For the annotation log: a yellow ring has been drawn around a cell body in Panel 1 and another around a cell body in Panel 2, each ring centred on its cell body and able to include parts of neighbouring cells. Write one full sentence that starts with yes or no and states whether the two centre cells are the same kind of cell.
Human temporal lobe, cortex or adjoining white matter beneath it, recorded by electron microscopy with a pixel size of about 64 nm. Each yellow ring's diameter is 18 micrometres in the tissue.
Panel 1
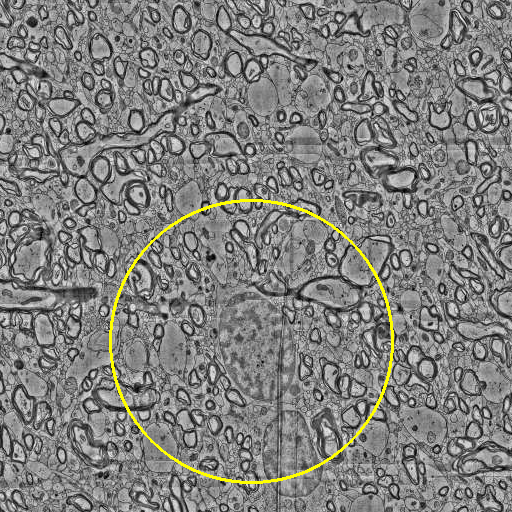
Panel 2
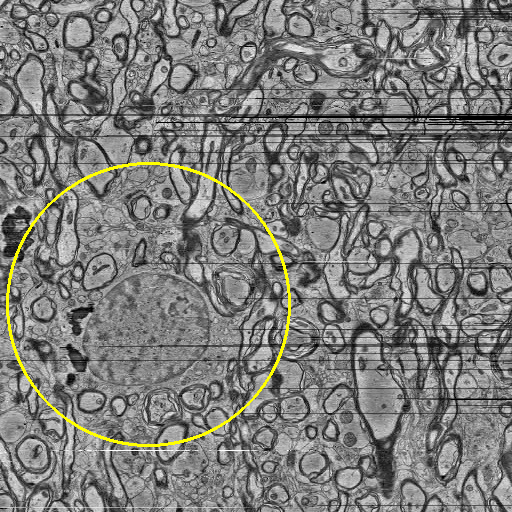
Yes, the two centre cells are the same kind of cell.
